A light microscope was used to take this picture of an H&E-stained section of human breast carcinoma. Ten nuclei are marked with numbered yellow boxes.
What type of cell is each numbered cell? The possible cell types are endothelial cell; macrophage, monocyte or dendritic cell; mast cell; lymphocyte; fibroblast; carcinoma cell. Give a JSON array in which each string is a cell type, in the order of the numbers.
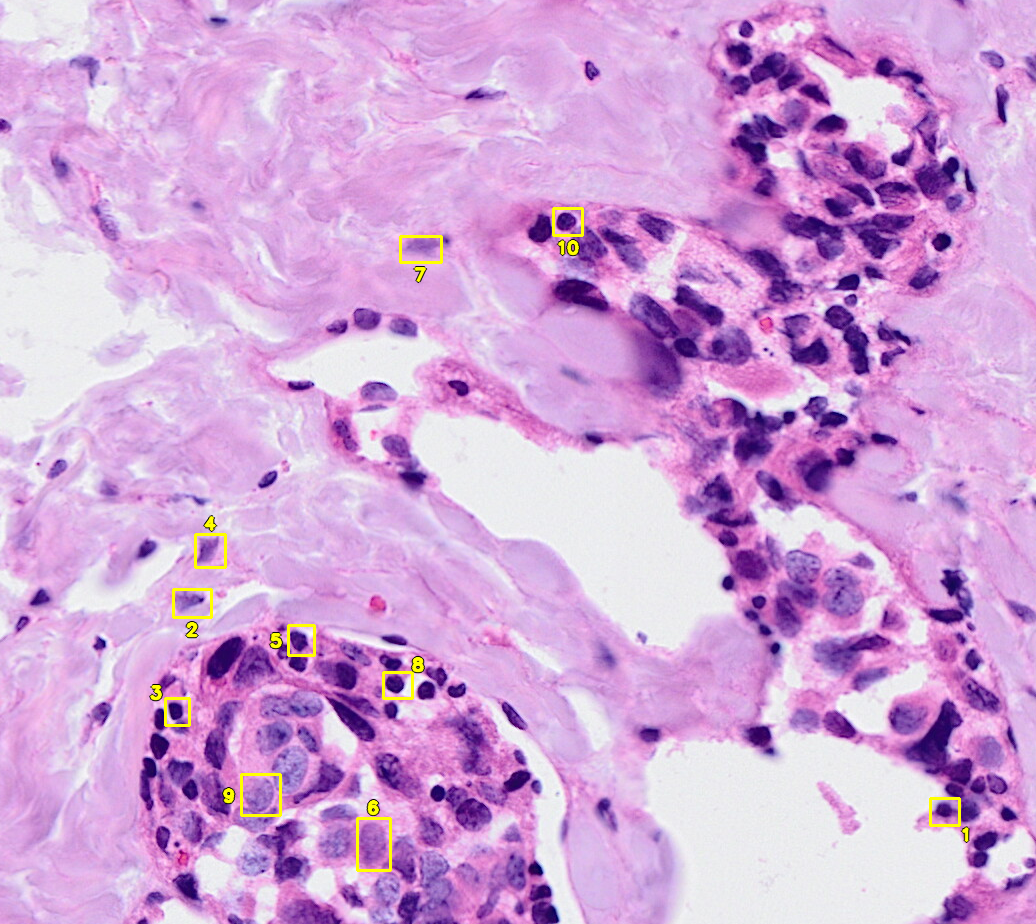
["lymphocyte", "fibroblast", "lymphocyte", "fibroblast", "lymphocyte", "carcinoma cell", "fibroblast", "lymphocyte", "carcinoma cell", "lymphocyte"]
